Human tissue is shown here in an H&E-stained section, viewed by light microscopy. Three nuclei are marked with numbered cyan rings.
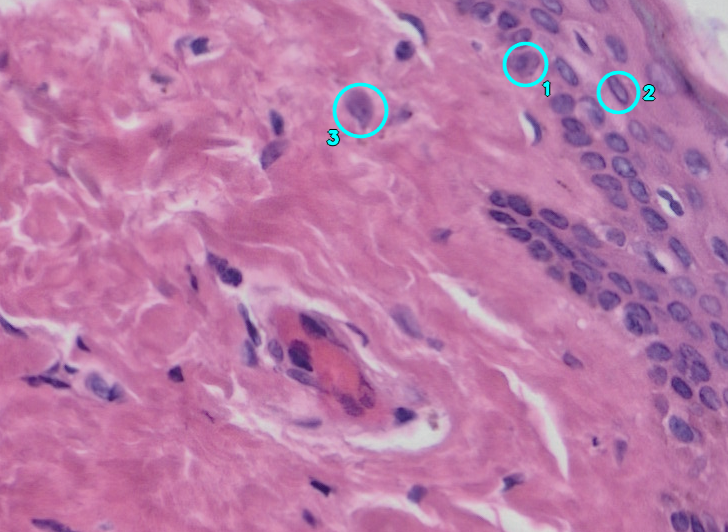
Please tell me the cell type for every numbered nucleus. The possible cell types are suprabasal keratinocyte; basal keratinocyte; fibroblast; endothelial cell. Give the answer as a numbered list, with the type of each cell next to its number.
1. basal keratinocyte
2. suprabasal keratinocyte
3. fibroblast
